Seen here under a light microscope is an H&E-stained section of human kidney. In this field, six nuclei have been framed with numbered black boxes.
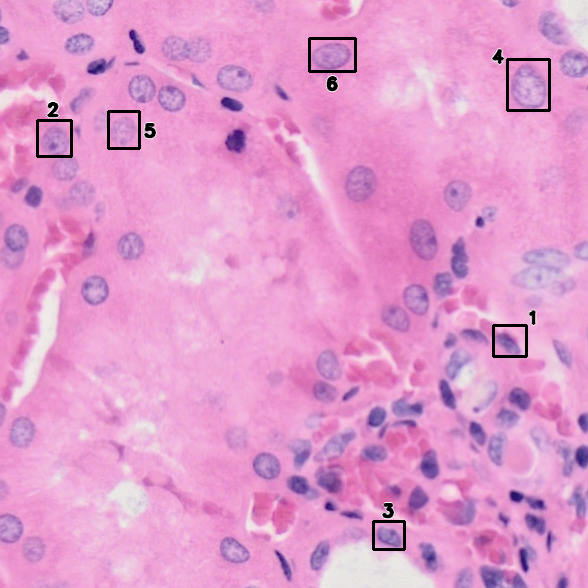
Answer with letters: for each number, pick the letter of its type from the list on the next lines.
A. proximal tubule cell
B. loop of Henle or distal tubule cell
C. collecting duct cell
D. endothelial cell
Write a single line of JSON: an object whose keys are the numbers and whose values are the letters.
{"1": "D", "2": "A", "3": "B", "4": "A", "5": "A", "6": "A"}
